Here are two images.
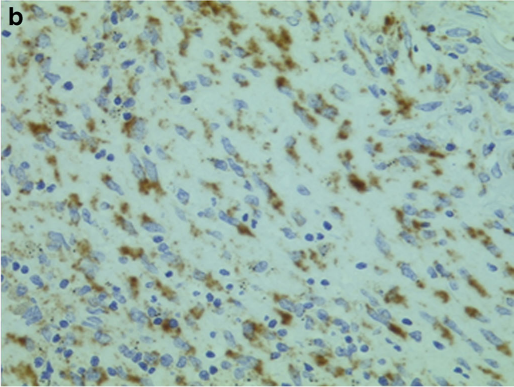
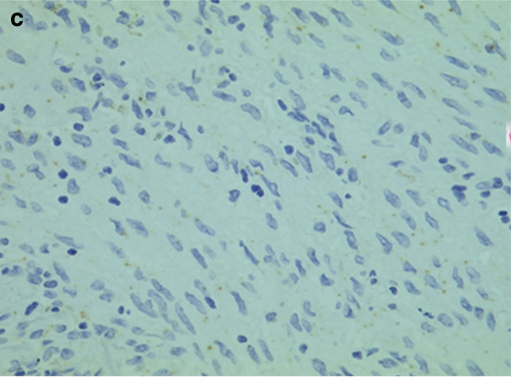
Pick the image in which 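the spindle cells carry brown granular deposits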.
The first image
